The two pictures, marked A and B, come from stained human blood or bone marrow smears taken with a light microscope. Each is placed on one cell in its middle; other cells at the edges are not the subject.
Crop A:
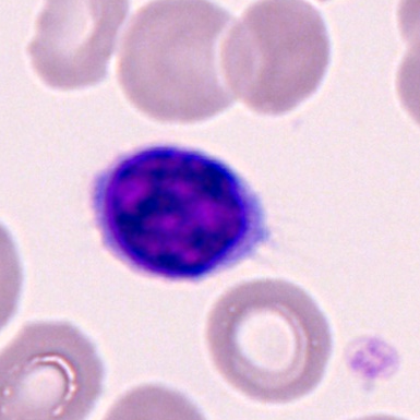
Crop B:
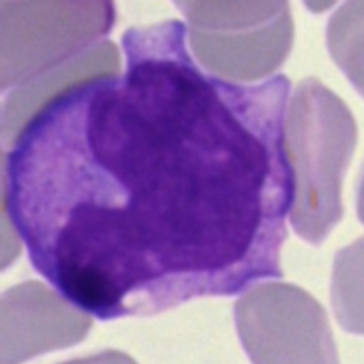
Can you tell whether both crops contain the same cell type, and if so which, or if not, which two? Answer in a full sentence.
No, crop B holds a monocyte, while crop A holds a lymphocyte.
